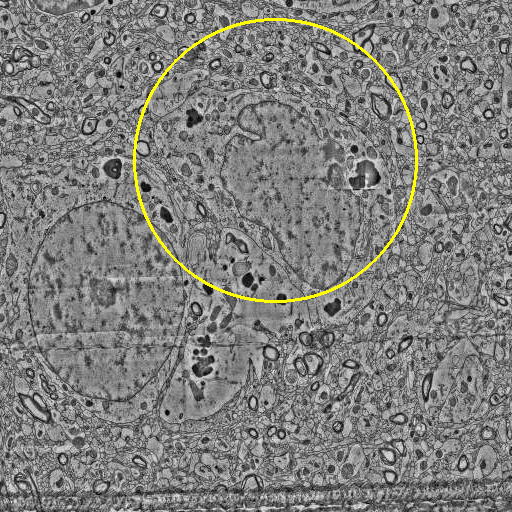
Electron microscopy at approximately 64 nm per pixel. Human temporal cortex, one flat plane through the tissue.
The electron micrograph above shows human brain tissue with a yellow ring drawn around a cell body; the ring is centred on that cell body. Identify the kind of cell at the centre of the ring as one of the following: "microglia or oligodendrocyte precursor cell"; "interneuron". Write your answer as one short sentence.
The cell at the centre of the ring is an interneuron.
